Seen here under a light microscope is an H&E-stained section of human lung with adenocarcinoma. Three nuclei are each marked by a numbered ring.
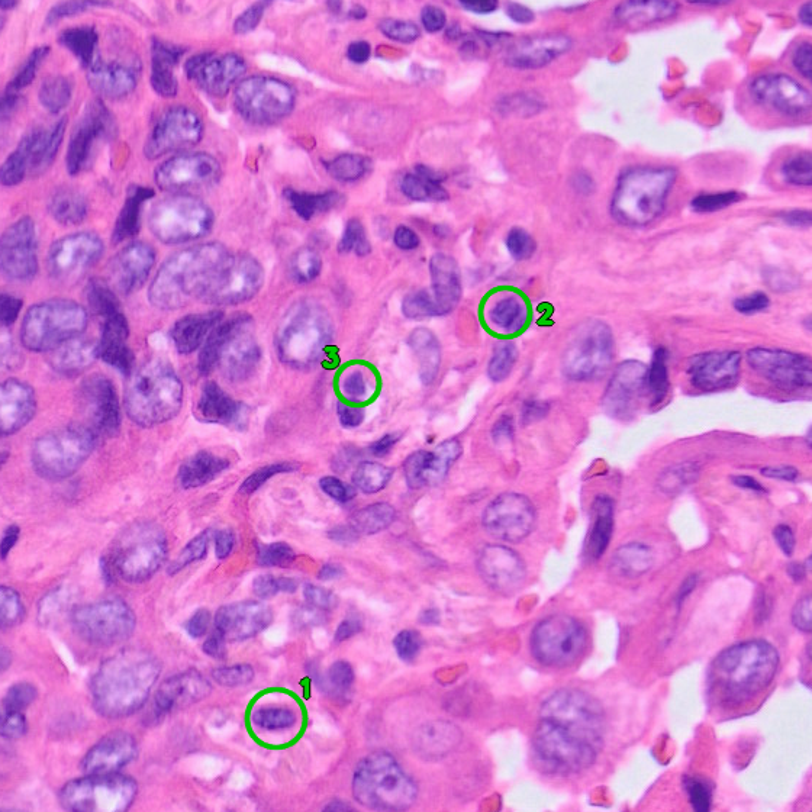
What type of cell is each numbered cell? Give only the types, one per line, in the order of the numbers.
mast cell
lymphocyte
lymphocyte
